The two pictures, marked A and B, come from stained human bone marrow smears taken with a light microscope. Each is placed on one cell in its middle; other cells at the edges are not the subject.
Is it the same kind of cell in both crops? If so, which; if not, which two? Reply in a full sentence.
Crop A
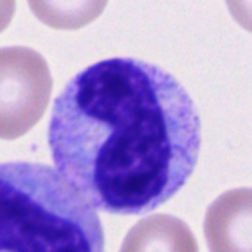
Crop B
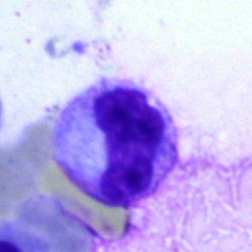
Yes, the cells in both crops are metamyelocytes.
